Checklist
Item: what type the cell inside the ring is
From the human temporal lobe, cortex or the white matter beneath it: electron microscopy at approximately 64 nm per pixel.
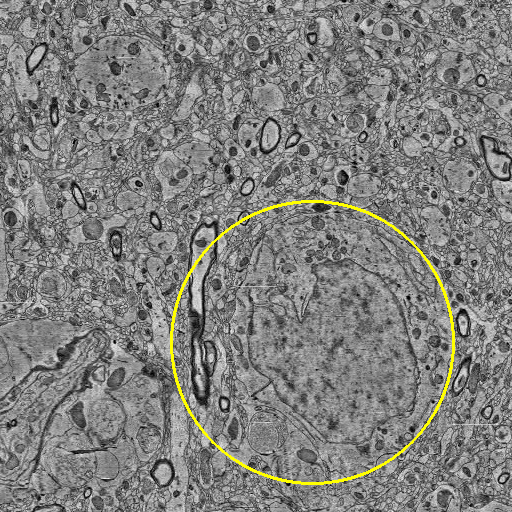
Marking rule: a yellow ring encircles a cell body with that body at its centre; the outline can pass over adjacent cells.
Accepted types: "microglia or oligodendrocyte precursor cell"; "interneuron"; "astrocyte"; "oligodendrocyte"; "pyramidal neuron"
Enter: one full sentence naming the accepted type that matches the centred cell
The entry is that an interneuron lies at the centre of the yellow ring.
